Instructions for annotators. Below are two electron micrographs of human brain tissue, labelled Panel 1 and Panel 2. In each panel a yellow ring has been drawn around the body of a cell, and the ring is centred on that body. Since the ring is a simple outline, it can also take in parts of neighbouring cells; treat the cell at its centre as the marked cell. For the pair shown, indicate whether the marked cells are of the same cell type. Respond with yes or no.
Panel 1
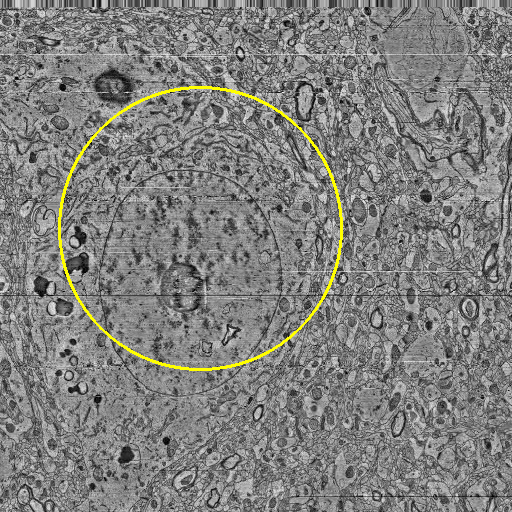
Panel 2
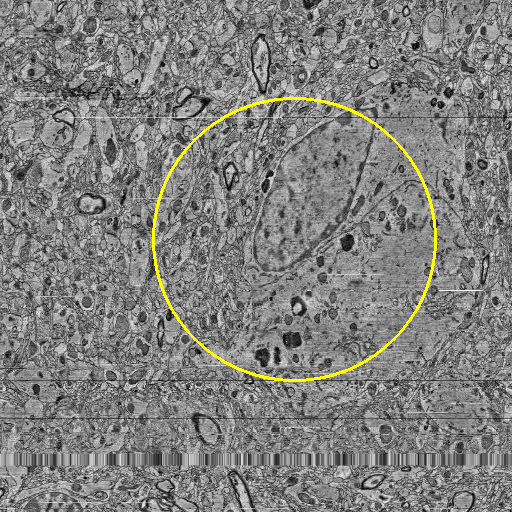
no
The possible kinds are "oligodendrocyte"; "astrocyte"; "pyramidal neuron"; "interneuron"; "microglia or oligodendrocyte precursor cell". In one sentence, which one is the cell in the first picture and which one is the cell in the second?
The cell ringed in the second picture is a microglial cell or oligodendrocyte precursor cell, whereas the one ringed in the first is a pyramidal neuron.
